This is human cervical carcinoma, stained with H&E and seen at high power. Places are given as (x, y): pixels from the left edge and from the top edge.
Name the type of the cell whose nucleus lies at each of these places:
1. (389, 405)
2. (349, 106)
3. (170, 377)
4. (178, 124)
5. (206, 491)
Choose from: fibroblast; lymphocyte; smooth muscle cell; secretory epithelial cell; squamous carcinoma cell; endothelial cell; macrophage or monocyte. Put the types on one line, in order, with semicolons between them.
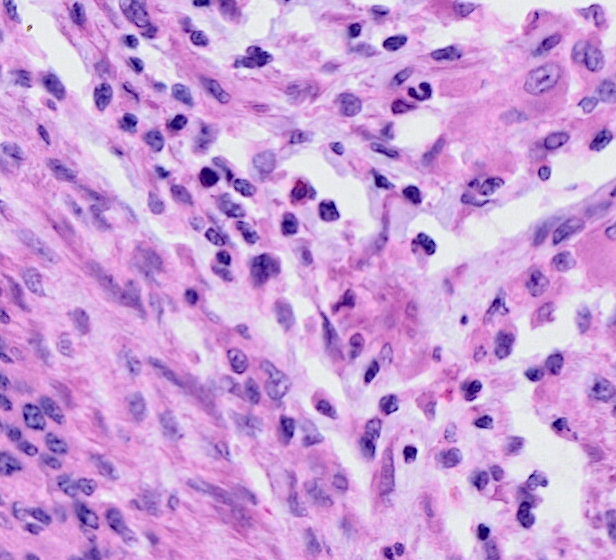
lymphocyte; macrophage or monocyte; fibroblast; lymphocyte; fibroblast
